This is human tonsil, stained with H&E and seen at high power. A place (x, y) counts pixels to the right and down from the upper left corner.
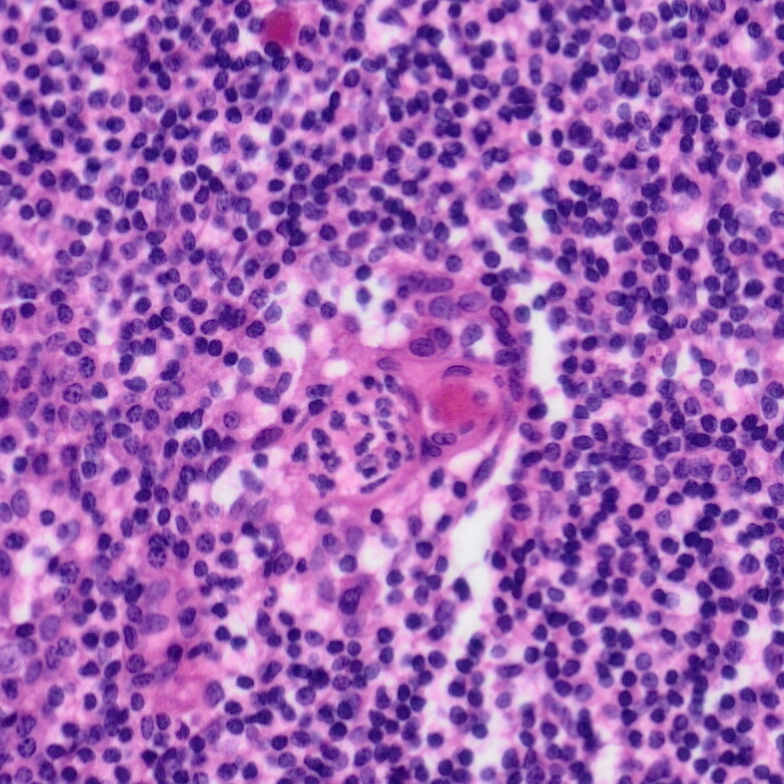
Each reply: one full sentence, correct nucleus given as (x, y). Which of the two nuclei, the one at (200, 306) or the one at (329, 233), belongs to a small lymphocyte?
The nucleus that belongs to a small lymphocyte is located at (200, 306).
